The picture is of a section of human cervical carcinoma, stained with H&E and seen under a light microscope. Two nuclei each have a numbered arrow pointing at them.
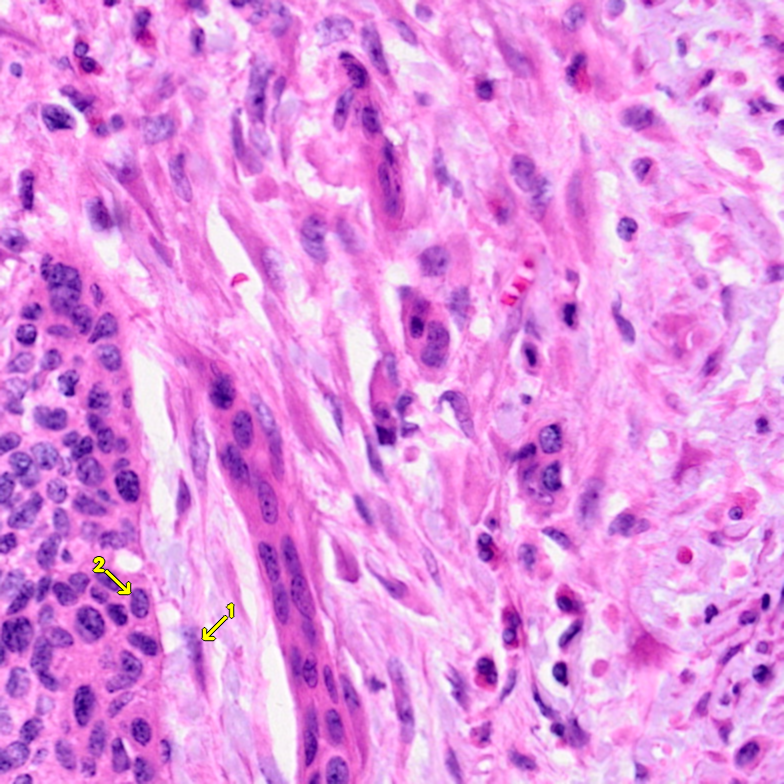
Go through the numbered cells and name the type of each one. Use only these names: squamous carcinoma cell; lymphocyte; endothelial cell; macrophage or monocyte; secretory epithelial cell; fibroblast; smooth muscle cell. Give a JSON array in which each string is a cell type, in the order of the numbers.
["fibroblast", "squamous carcinoma cell"]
